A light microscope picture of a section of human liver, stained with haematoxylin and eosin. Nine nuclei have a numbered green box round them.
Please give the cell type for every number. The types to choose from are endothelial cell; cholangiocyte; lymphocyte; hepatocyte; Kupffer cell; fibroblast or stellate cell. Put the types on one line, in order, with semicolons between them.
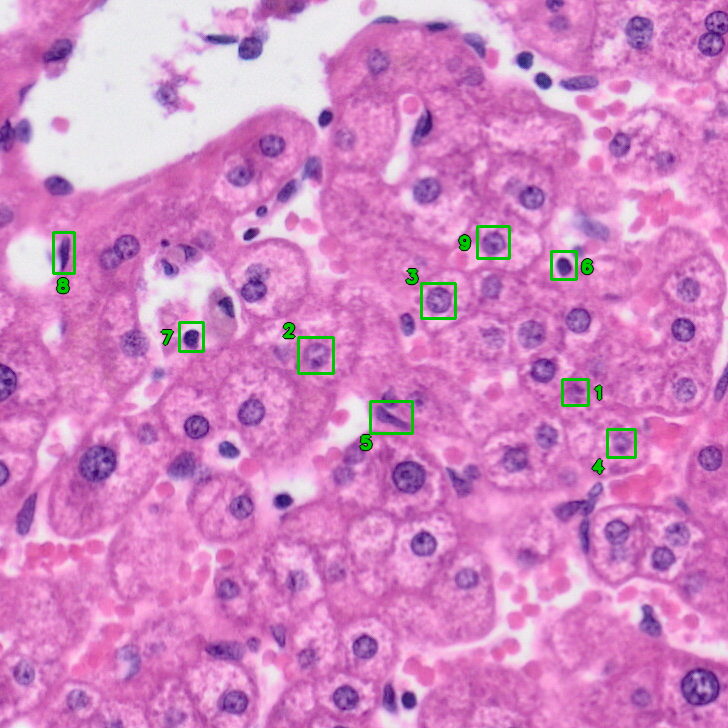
hepatocyte; hepatocyte; hepatocyte; hepatocyte; Kupffer cell; lymphocyte; lymphocyte; fibroblast or stellate cell; hepatocyte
